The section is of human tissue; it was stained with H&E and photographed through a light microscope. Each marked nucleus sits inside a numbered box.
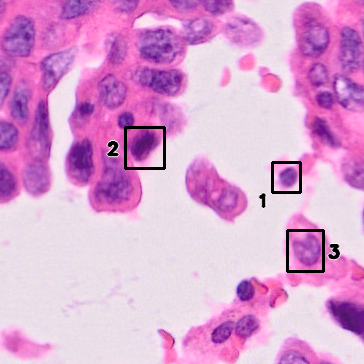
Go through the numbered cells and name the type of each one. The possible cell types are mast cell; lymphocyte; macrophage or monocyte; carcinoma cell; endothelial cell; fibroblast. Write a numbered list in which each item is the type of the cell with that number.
1. lymphocyte
2. carcinoma cell
3. macrophage or monocyte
